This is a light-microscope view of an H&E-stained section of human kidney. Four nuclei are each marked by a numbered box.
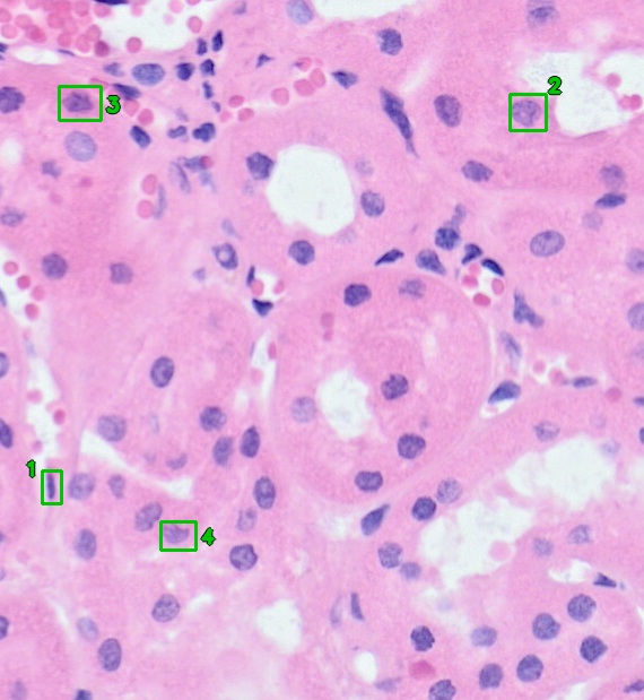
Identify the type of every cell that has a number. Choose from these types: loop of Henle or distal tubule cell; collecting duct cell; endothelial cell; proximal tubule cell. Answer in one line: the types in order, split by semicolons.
endothelial cell; proximal tubule cell; proximal tubule cell; proximal tubule cell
